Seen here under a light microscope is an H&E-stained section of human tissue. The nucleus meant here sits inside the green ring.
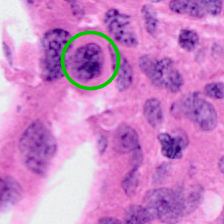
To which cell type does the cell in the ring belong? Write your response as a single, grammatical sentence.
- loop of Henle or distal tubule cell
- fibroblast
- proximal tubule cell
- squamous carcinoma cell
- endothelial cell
For the purposes of cell typing, the cell in the ring is categorized as a squamous carcinoma cell.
